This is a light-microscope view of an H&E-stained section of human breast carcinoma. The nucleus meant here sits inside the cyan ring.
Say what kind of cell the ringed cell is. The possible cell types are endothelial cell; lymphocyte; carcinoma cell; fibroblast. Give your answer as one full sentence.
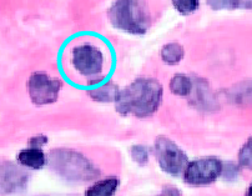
Just put down that the ringed cell is a lymphocyte.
